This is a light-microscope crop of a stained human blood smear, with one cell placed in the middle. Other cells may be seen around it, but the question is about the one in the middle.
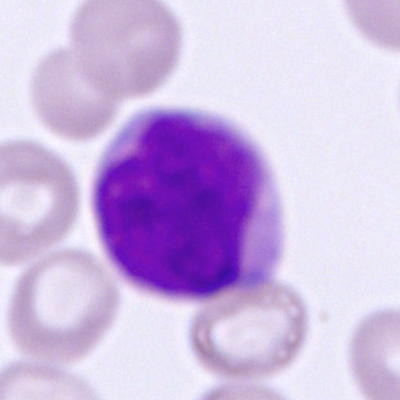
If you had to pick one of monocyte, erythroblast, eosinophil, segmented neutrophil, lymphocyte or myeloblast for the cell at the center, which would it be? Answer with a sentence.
The crop shows a myeloblast in its centre.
